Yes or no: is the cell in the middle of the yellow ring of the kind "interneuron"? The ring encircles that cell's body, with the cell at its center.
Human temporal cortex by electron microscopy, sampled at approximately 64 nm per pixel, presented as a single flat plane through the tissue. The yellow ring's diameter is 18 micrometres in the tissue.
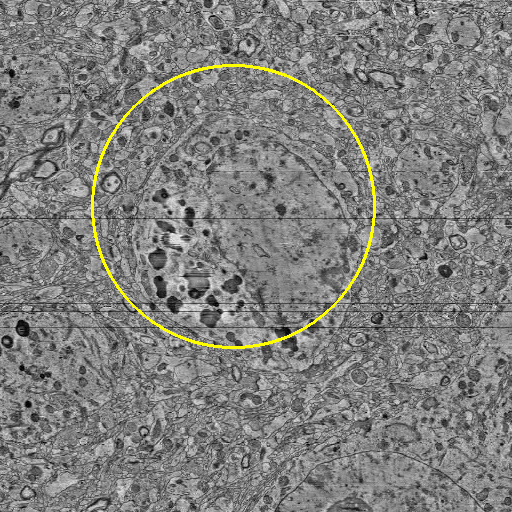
yes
